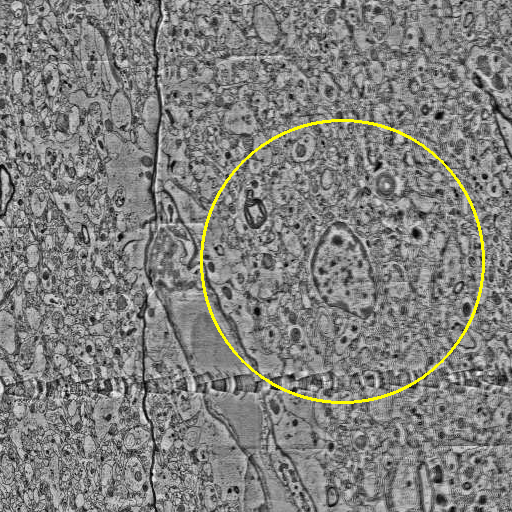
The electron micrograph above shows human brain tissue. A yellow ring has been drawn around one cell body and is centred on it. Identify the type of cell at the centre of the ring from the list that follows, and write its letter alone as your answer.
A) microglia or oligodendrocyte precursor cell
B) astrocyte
A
